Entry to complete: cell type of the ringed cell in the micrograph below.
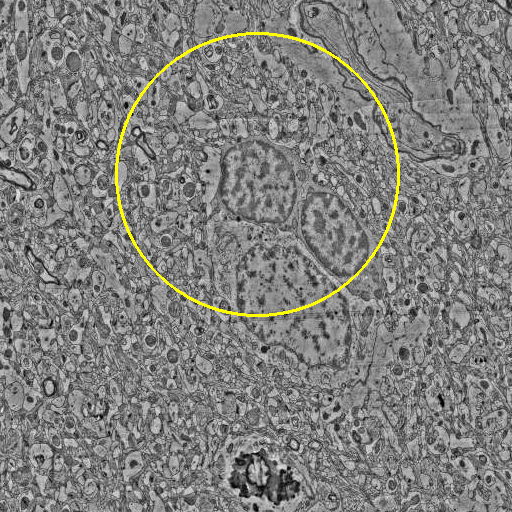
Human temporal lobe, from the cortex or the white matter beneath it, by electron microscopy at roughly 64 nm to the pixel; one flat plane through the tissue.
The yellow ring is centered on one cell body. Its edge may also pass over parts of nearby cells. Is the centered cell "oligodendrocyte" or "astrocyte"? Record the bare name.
oligodendrocyte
